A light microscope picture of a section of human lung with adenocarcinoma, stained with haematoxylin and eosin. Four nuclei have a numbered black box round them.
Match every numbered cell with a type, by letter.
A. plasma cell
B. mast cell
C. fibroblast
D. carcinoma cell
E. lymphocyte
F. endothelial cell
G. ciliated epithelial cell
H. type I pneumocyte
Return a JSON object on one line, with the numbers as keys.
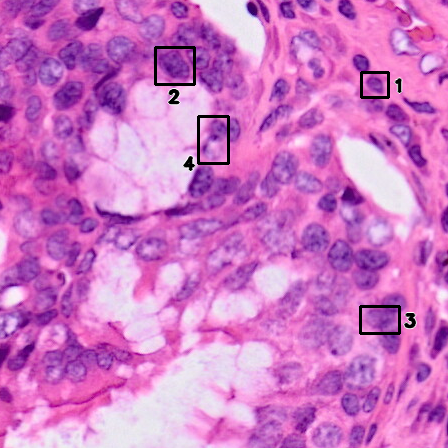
{"1": "A", "2": "G", "3": "G", "4": "G"}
